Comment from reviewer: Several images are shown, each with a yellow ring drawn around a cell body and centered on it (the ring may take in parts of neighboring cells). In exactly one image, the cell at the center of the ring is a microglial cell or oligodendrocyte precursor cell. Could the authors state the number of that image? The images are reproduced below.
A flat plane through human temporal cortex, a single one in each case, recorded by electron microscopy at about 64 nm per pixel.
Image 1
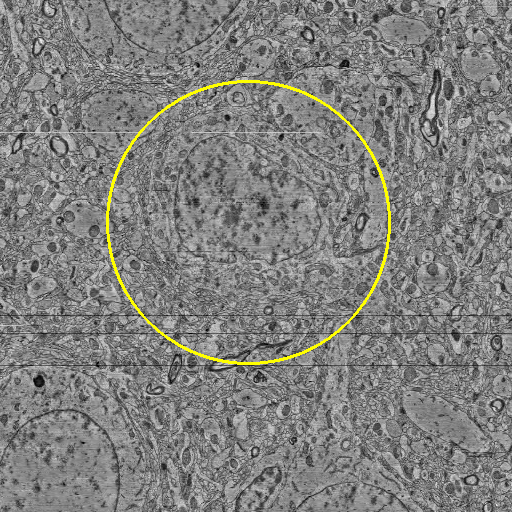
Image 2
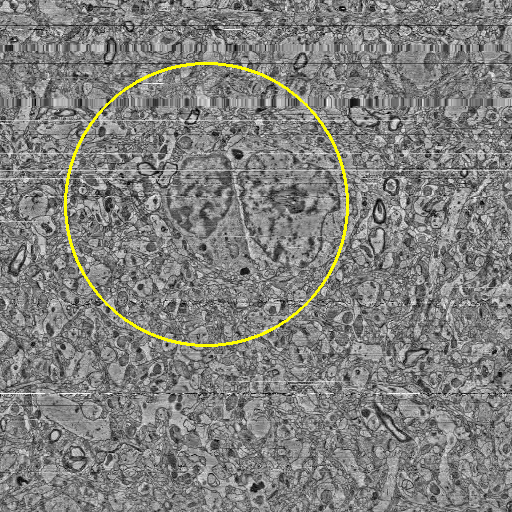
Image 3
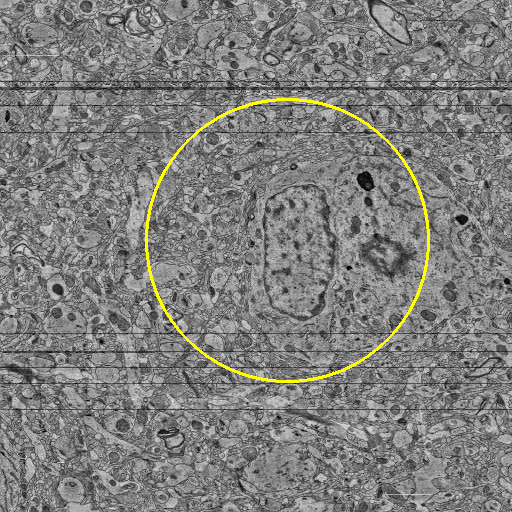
3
